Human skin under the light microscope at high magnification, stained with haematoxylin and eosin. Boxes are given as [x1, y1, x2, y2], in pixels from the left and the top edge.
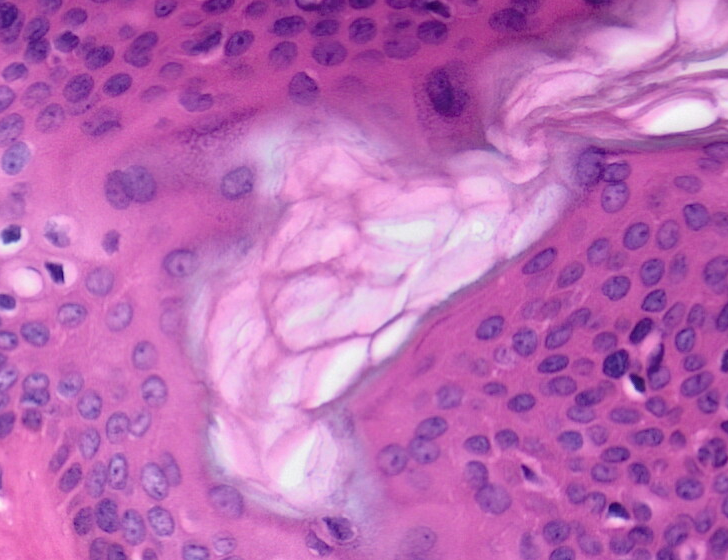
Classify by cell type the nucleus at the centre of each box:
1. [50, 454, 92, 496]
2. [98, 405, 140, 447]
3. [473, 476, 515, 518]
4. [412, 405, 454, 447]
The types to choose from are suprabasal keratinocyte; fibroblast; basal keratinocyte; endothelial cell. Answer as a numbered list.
1. basal keratinocyte
2. suprabasal keratinocyte
3. suprabasal keratinocyte
4. suprabasal keratinocyte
